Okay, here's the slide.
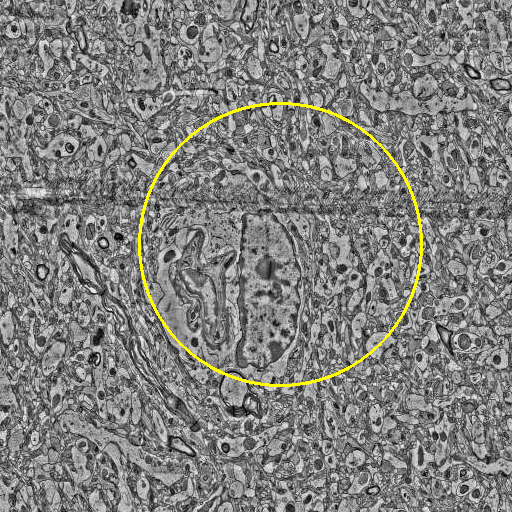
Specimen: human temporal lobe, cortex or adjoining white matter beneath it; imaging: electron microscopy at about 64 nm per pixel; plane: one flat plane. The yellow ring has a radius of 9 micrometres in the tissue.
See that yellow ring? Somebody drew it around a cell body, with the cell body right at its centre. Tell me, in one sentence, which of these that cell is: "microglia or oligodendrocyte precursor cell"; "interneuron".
The cell in the middle of the ring is a microglial cell or oligodendrocyte precursor cell.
